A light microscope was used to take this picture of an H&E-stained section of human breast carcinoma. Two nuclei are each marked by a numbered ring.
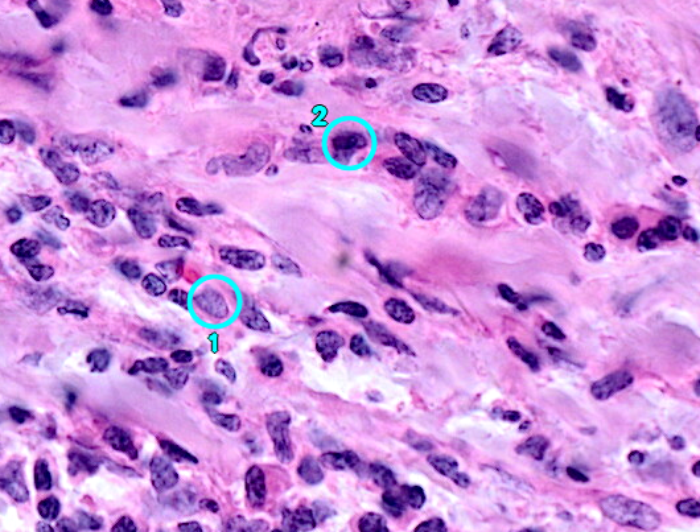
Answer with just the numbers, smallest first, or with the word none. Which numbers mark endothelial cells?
1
